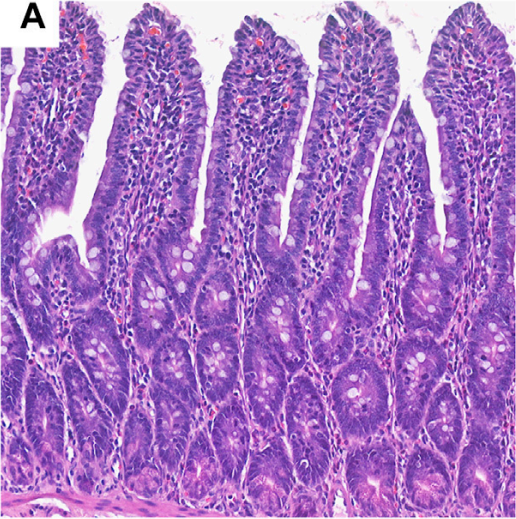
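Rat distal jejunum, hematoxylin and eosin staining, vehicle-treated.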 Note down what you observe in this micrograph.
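The villus cores of lamina propria contain small capillaries with red blood cells and scattered dark nuclei. In the lower half, the intestinal crypts are cut in cross and oblique section. They appear as round glands lined by epithelium with many pale goblet cells around small central lumens. A thin band of smooth muscle is visible at the bottom edge.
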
